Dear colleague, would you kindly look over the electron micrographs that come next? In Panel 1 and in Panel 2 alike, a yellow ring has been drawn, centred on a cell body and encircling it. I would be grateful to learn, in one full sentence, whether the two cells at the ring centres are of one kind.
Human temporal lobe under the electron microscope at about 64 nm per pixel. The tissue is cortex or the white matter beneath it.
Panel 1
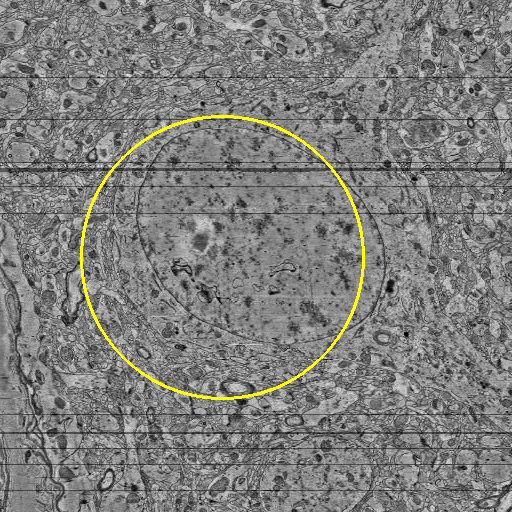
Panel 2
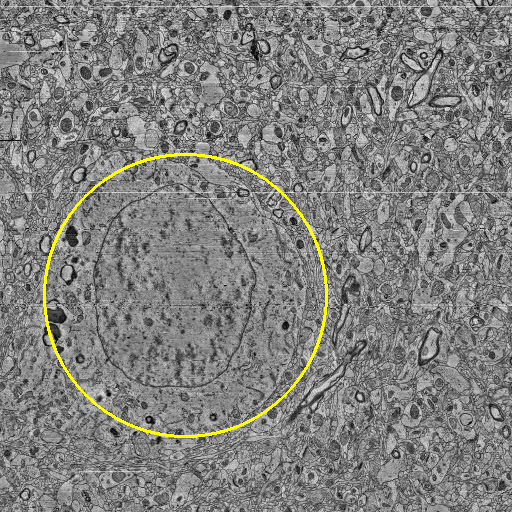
Yes, the cells in the middle of the rings in the two panels are of one kind.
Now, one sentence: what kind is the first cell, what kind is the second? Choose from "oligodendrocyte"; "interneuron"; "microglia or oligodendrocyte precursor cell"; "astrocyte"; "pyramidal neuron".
Each of the two pictures has a pyramidal neuron at the ring centre.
